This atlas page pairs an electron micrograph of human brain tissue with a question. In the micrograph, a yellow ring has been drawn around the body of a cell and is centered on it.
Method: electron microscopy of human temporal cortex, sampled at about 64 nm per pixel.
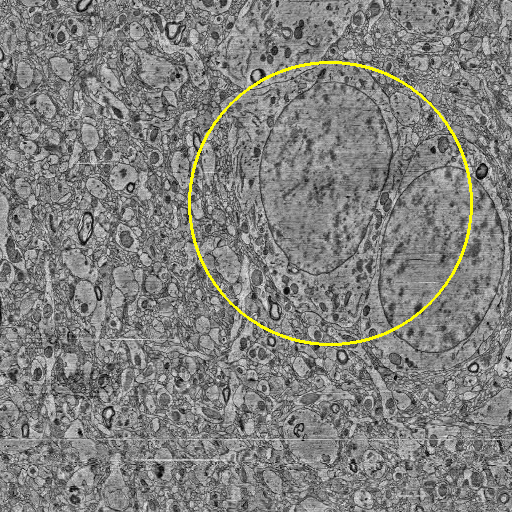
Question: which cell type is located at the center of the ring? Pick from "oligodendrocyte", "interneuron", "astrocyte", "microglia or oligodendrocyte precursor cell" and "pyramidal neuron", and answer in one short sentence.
Located at the center of the ring is a pyramidal neuron.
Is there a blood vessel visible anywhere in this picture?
No.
